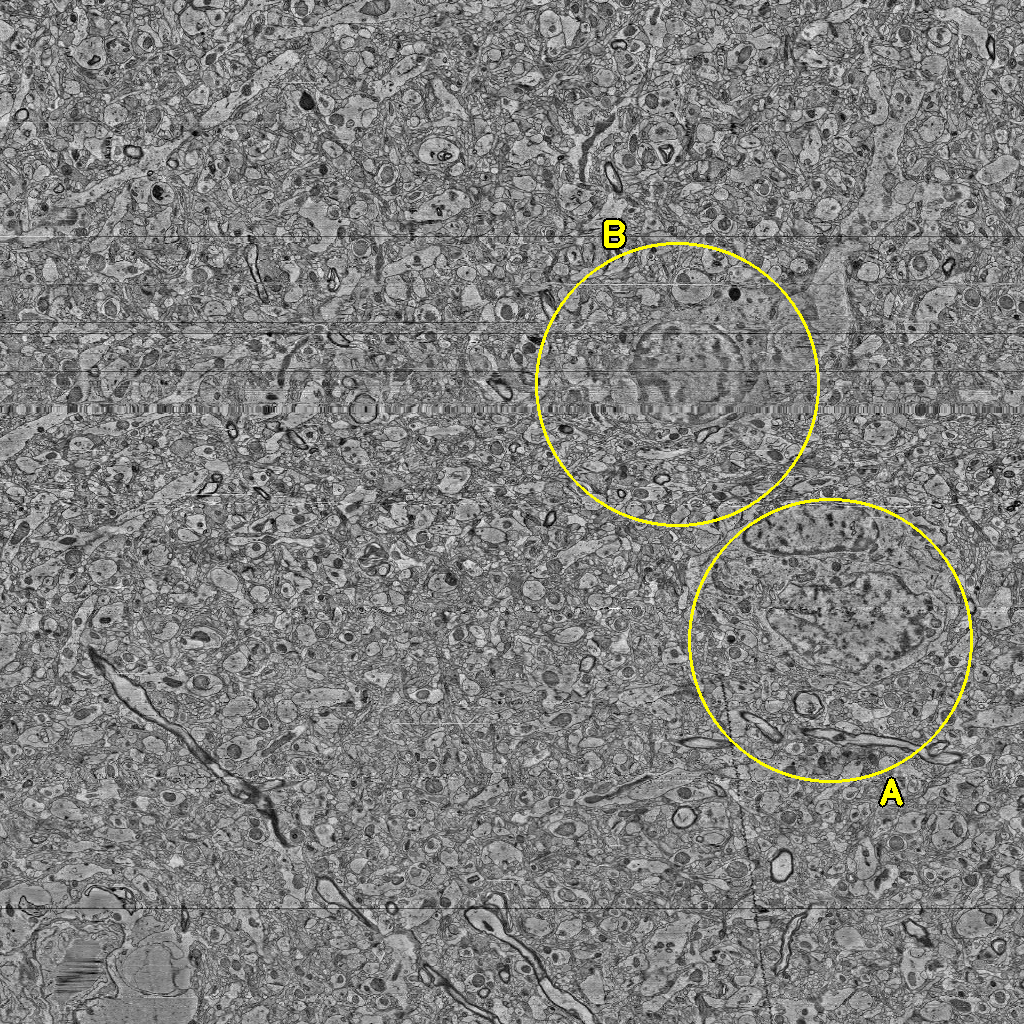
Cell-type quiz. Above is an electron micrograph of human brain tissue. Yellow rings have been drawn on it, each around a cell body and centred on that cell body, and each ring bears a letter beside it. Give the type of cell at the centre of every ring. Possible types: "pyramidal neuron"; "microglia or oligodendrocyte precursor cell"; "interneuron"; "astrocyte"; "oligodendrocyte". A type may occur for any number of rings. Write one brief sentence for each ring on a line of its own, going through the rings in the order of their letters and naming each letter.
Ring A is centred on the cell body of an interneuron.
Ring B is centred on the cell body of an oligodendrocyte.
